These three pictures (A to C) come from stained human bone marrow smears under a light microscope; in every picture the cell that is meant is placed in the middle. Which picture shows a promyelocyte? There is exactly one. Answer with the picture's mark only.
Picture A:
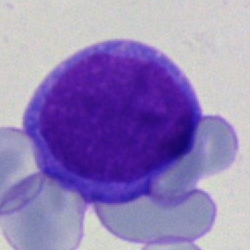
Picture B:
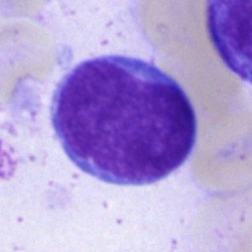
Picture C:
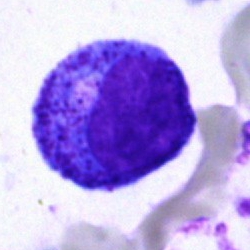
C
